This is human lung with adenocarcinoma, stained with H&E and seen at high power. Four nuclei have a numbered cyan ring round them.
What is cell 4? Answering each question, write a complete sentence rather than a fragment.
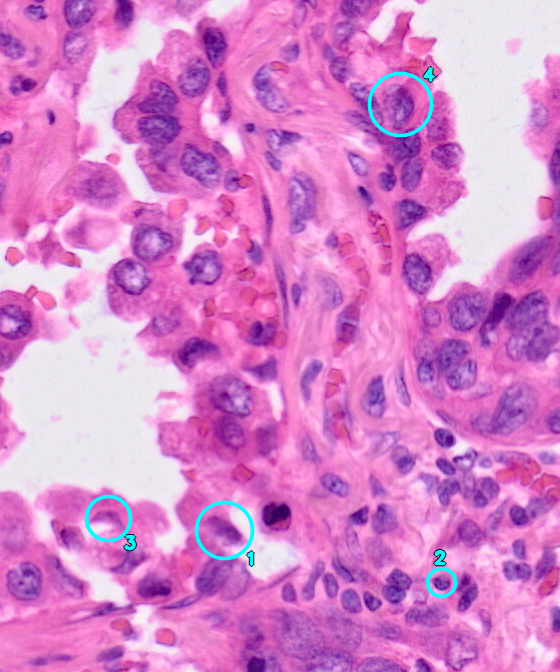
At number 4, the marked cell is a carcinoma cell.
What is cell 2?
In this section, the cell numbered 2 is a lymphocyte.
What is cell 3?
Cell 3, as marked in the section, is a carcinoma cell.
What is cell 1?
What the number 1 marks in this field is a carcinoma cell.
